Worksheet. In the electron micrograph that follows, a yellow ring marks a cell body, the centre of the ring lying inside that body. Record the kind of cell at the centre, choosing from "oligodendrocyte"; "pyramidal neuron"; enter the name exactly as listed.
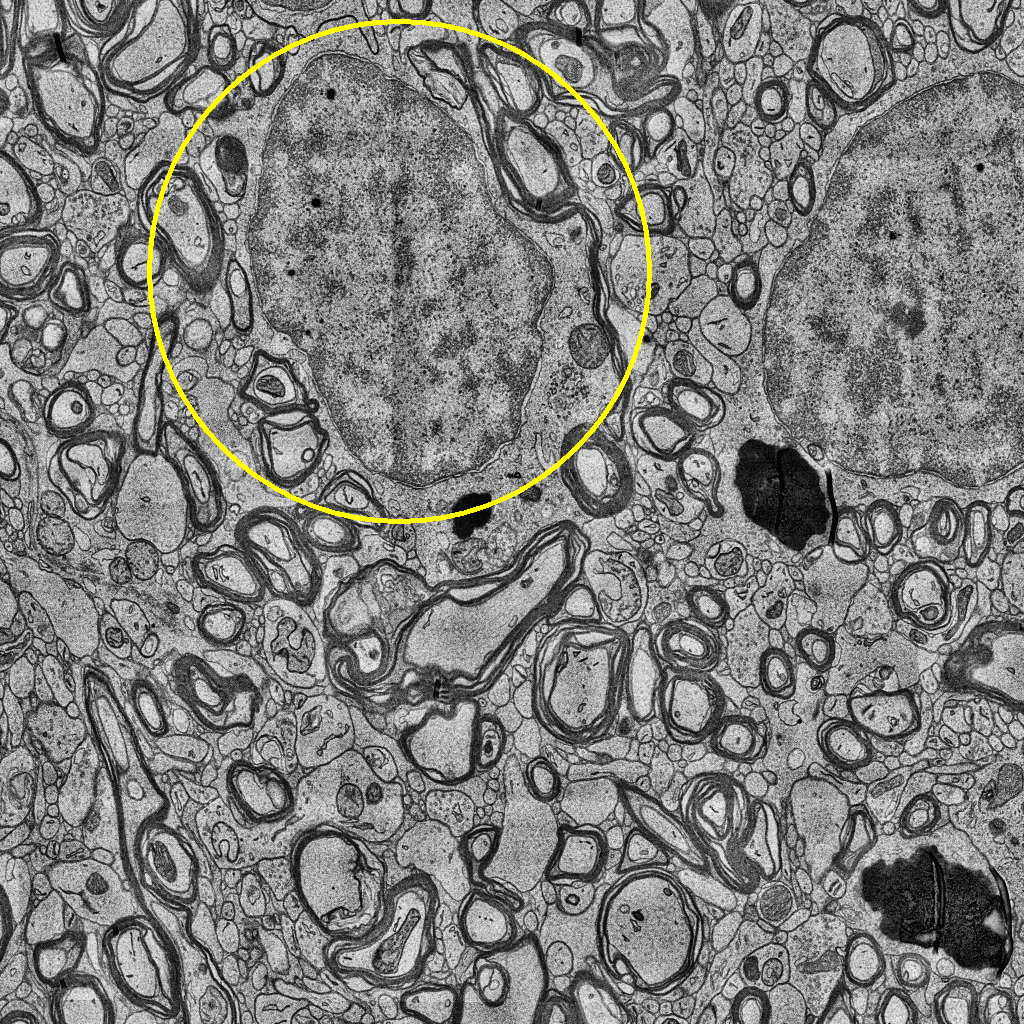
oligodendrocyte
